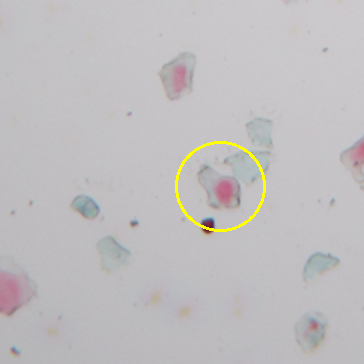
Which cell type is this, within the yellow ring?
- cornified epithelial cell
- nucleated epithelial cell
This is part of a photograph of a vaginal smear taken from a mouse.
Within the ring is a nucleated epithelial cell.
